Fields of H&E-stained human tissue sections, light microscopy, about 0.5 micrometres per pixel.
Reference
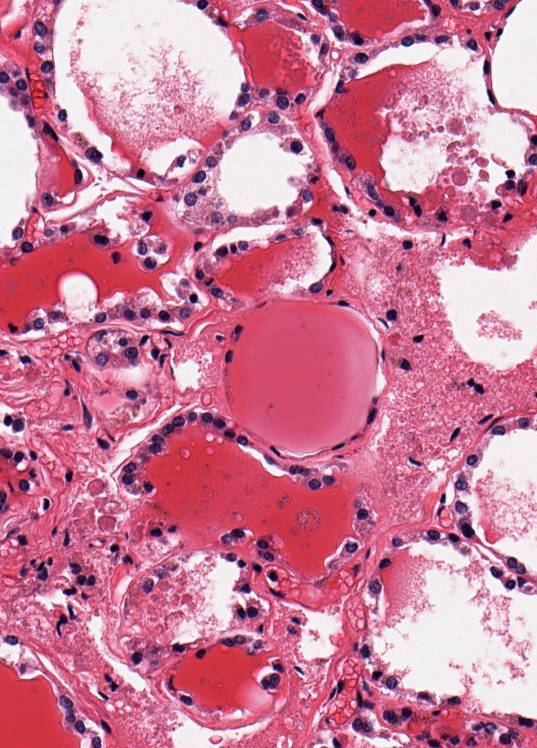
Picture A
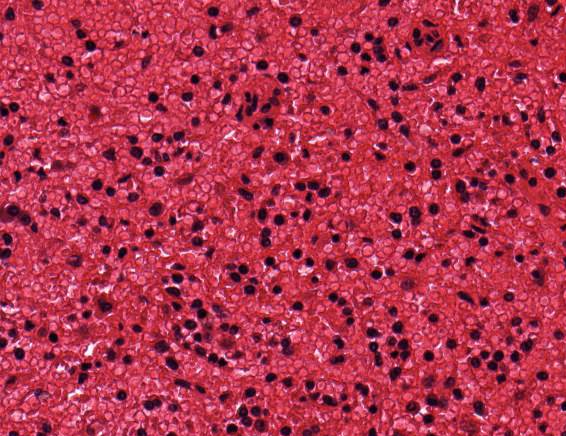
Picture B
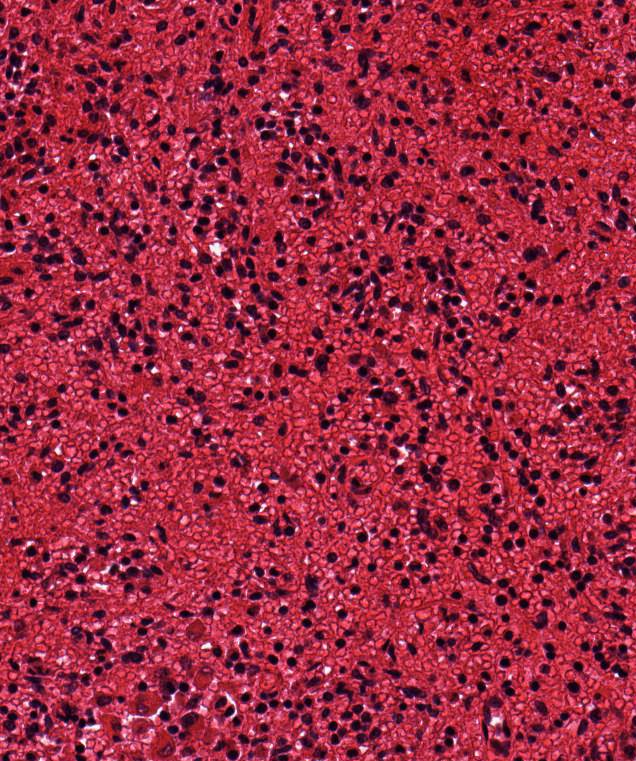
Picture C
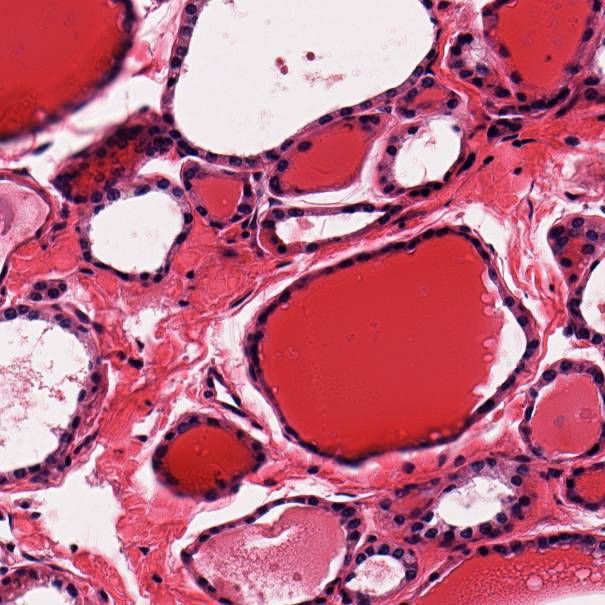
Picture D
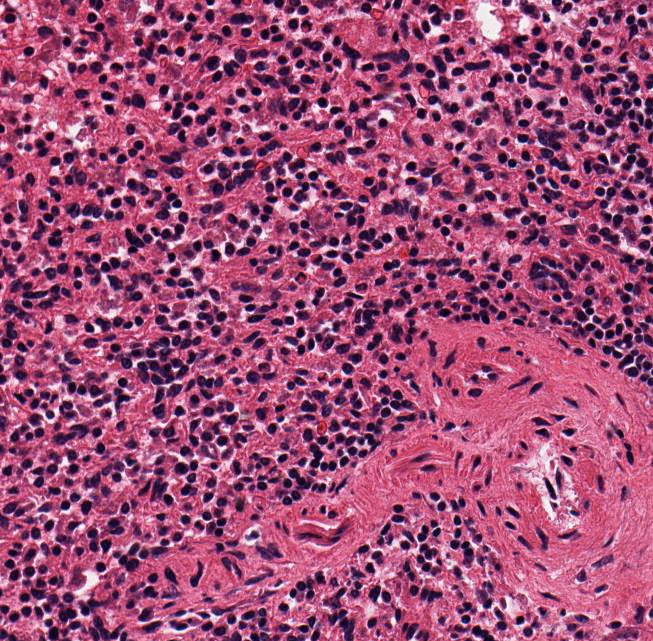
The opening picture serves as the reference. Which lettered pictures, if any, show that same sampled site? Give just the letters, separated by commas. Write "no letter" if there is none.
C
